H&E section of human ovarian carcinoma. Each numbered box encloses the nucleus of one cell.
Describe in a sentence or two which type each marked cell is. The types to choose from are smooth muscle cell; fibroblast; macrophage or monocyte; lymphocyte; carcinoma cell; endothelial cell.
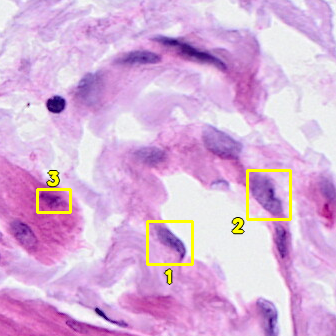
Cell 1 is an endothelial cell, cell 2 is an endothelial cell and cell 3 is a smooth muscle cell.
